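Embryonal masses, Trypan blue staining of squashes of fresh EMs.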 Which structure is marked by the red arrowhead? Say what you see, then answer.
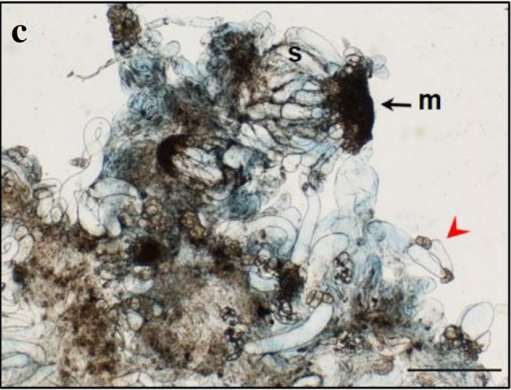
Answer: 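The cluster sits at the end of elongated, clear, tube-like cells. The answer: small singulated somatic embryos.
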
